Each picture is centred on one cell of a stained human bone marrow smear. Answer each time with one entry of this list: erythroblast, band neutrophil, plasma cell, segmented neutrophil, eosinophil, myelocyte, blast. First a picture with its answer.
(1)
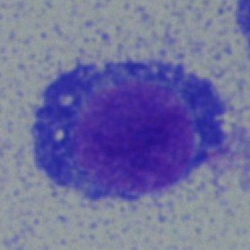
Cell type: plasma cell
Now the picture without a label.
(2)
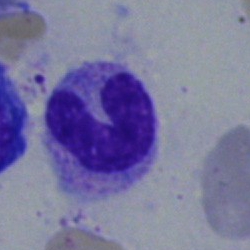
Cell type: band neutrophil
